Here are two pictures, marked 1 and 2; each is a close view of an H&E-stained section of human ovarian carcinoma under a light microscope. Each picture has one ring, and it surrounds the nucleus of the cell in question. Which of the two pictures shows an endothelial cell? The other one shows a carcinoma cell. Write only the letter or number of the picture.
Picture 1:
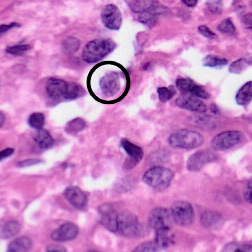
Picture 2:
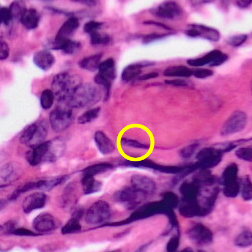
2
